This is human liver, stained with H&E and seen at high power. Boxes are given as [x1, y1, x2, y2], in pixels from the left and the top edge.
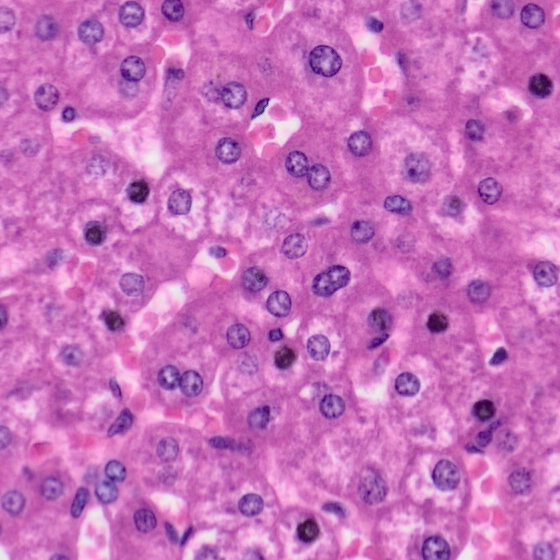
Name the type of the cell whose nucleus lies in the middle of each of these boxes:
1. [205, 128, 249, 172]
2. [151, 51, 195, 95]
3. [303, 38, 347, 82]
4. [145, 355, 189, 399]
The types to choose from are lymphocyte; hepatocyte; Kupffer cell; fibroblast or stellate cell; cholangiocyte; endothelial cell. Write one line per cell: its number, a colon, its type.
1: hepatocyte
2: Kupffer cell
3: hepatocyte
4: hepatocyte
